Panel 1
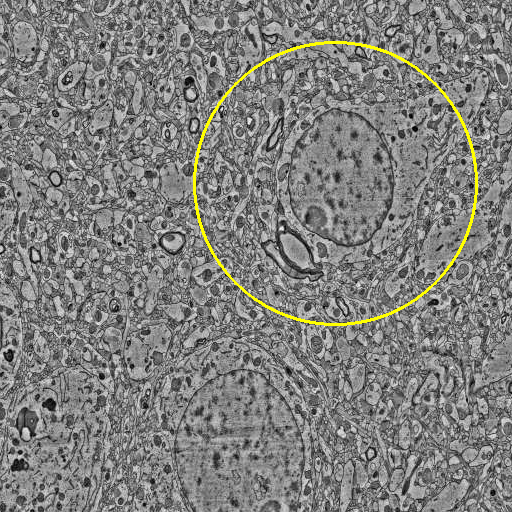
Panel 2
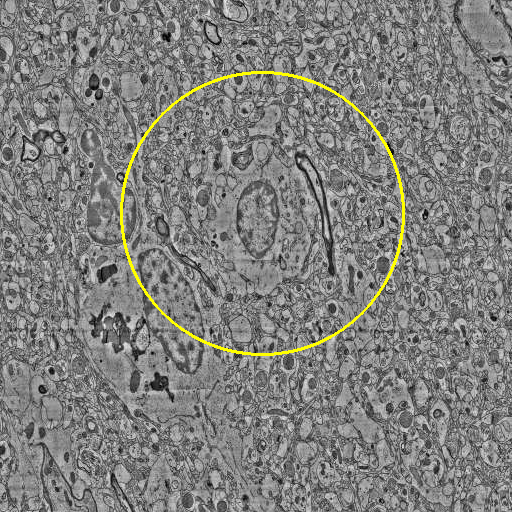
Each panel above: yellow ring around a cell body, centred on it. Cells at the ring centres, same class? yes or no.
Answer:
no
